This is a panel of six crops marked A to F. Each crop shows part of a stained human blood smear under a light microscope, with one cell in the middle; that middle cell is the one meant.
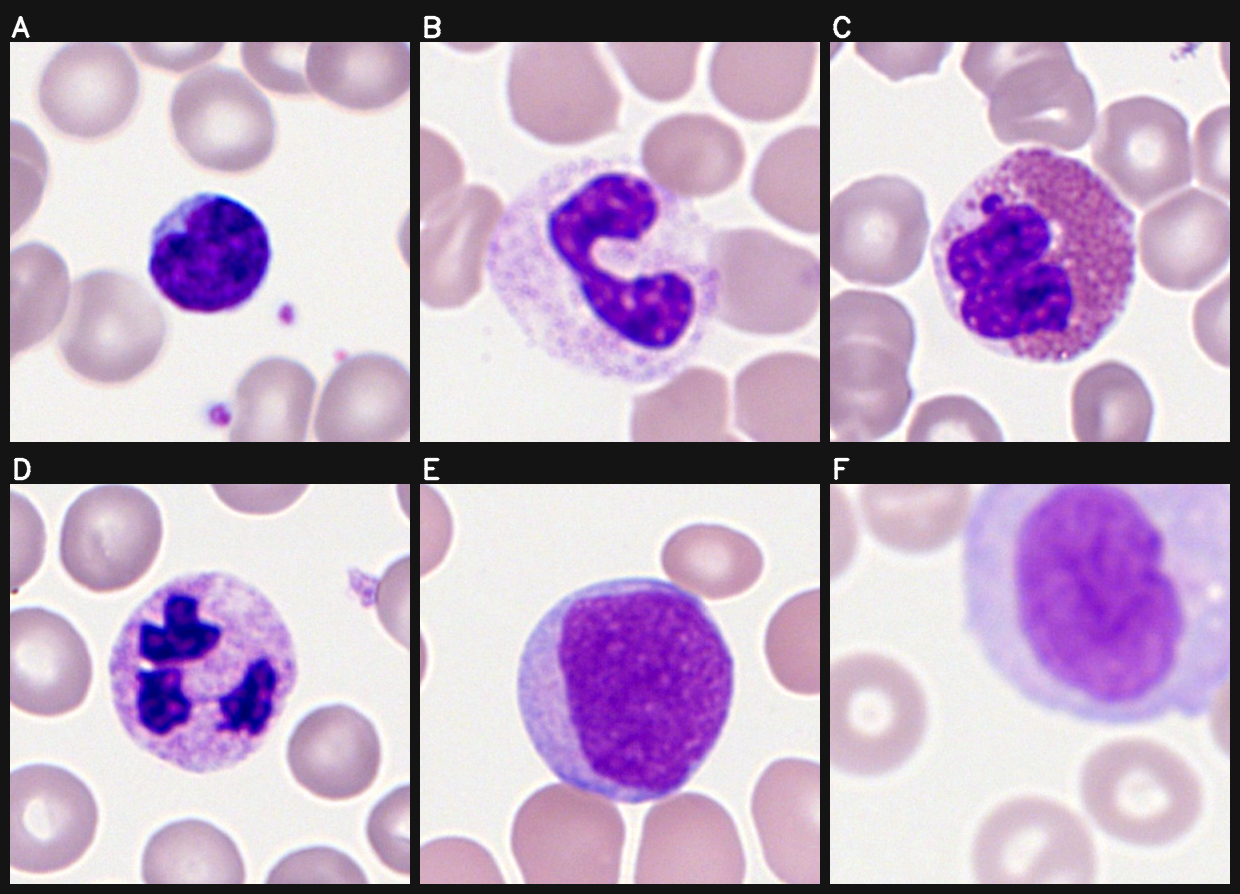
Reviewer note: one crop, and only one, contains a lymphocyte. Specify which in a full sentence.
The cell at the center of crop A is the one that is a lymphocyte.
